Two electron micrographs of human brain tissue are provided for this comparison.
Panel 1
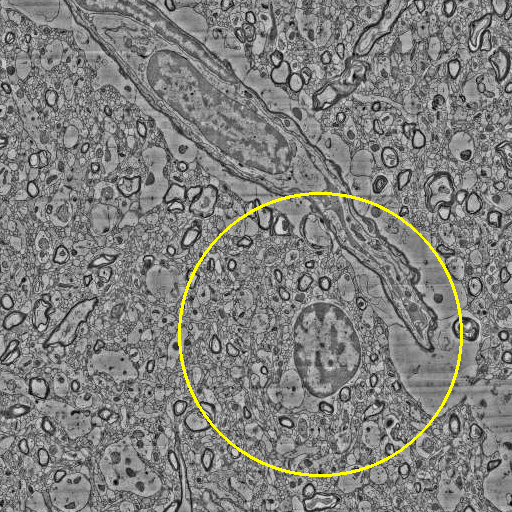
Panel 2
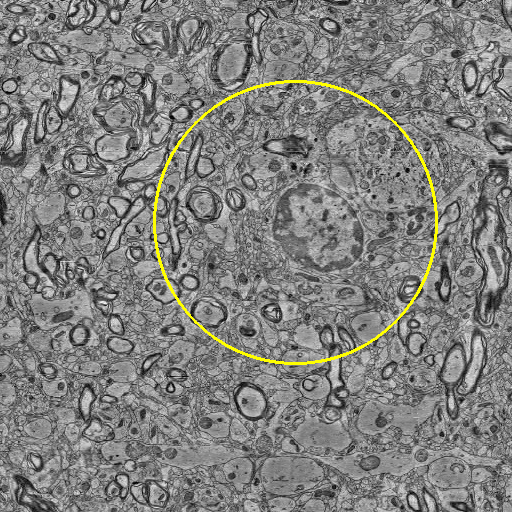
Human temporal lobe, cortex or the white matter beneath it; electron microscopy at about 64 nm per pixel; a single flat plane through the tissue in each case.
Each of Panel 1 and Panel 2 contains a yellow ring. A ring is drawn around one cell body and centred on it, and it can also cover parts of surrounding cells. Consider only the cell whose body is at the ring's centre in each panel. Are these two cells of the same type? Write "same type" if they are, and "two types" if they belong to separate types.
same type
